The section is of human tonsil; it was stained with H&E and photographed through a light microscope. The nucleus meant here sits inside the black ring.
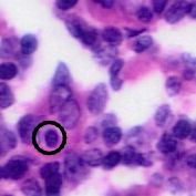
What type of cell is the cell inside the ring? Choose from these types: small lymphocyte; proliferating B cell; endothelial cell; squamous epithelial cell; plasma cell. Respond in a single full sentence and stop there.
Right, so the cell inside the ring is an endothelial cell, to answer that.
